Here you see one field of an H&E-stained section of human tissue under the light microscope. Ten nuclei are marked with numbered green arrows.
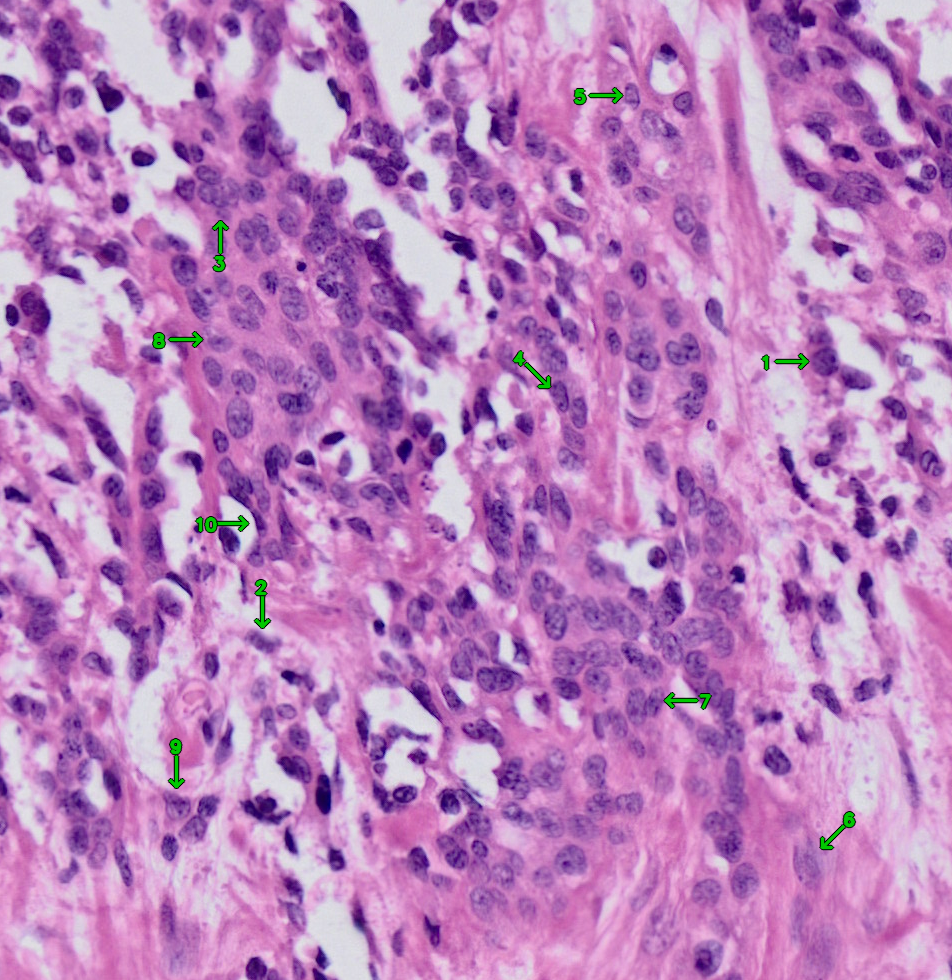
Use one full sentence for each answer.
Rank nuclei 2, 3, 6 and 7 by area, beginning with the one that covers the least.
From smallest to largest, the order is 3, 7, 2, 6.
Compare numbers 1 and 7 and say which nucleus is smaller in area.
Nucleus 7 is the smaller one; nucleus 1 covers about 2 times its area.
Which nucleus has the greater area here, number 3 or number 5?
The larger nucleus is 5, at roughly 1.5 times the area of 3.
